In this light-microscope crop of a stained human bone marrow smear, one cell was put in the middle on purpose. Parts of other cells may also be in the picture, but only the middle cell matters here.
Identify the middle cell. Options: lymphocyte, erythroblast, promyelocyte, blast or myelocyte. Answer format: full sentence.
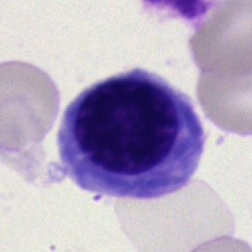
The central cell in this smear crop is an erythroblast.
